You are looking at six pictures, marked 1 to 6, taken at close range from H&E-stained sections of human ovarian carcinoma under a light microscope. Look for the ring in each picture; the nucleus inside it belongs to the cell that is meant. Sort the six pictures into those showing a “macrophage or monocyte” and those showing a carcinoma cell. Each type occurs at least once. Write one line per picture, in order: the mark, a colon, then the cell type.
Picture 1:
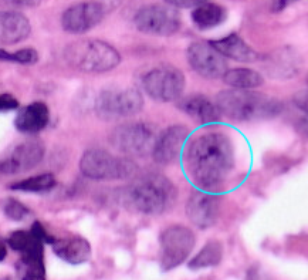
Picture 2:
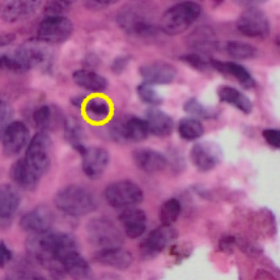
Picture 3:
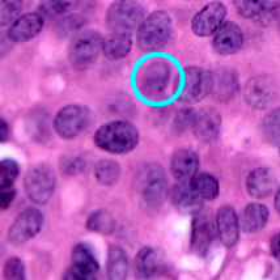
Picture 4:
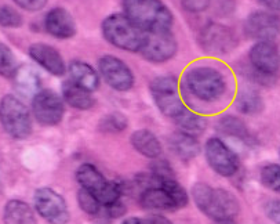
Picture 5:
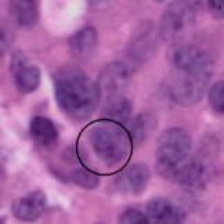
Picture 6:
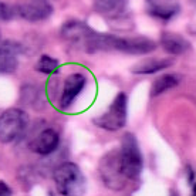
1: carcinoma cell
2: macrophage or monocyte
3: carcinoma cell
4: carcinoma cell
5: carcinoma cell
6: macrophage or monocyte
